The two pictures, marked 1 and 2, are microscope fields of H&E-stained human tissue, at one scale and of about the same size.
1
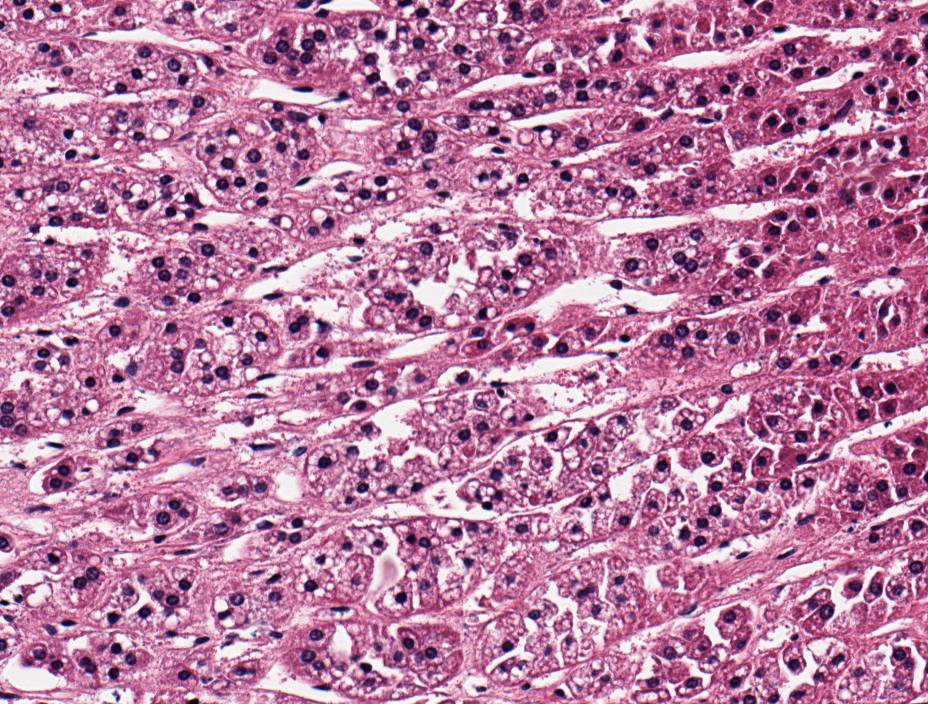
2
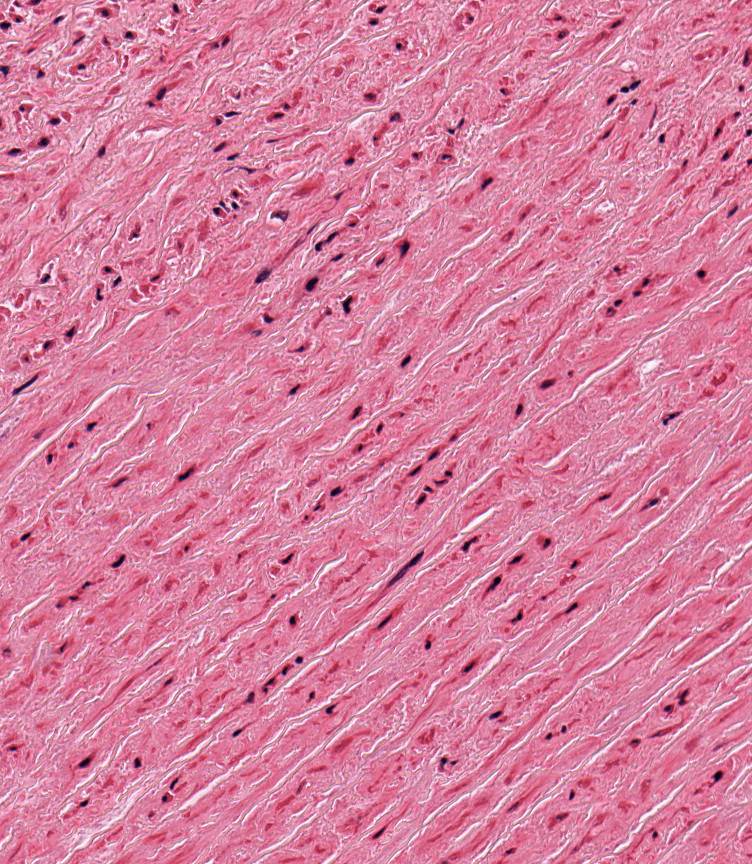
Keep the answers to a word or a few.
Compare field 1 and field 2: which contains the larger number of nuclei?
1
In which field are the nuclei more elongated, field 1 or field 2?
2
